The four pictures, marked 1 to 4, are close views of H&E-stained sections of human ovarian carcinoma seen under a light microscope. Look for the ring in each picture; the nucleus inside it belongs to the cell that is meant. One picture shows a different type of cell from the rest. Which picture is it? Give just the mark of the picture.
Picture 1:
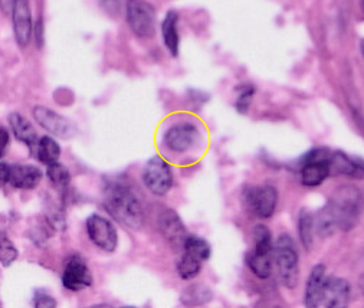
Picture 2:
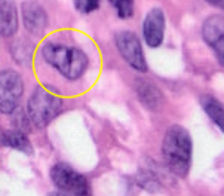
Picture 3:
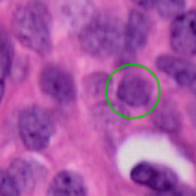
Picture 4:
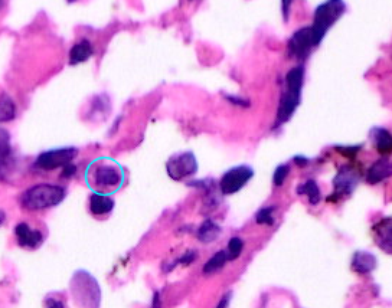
3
